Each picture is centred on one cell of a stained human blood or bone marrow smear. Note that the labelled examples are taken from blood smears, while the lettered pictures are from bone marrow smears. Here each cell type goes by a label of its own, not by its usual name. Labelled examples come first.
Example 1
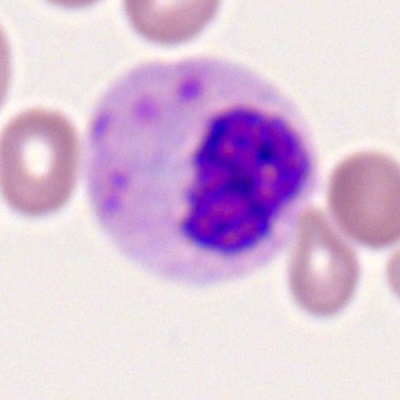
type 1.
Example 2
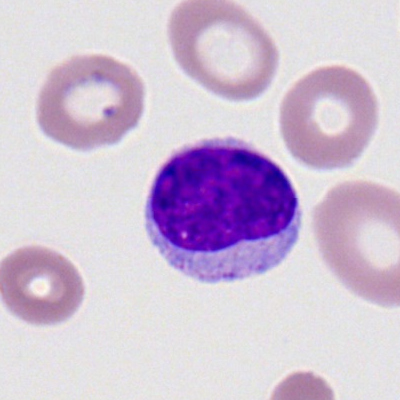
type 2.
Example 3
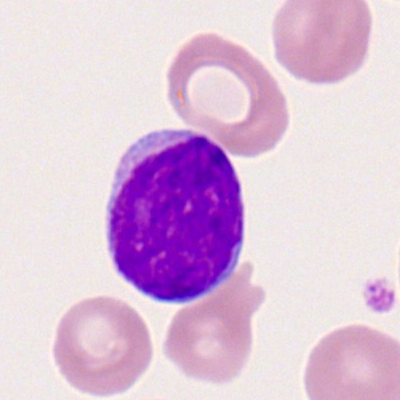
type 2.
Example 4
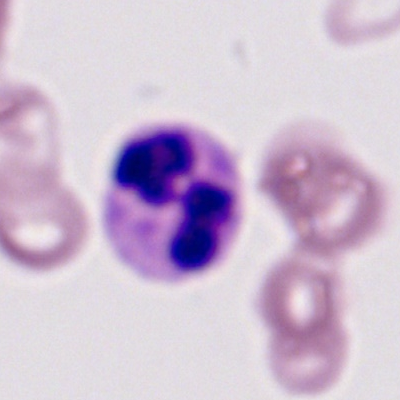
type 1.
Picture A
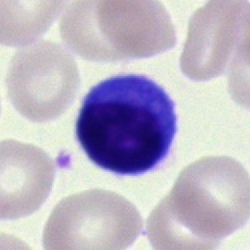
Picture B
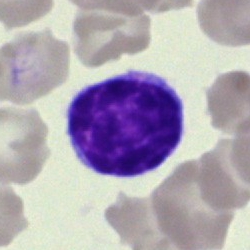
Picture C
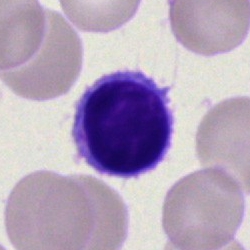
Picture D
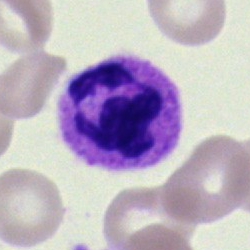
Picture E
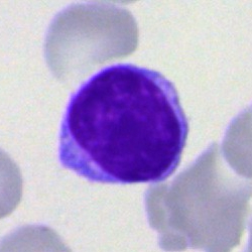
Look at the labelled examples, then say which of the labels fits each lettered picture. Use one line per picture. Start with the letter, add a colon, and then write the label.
A: type 2.
B: type 2.
C: type 2.
D: type 1.
E: type 2.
